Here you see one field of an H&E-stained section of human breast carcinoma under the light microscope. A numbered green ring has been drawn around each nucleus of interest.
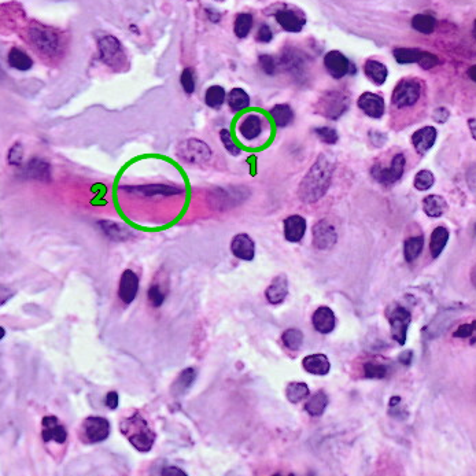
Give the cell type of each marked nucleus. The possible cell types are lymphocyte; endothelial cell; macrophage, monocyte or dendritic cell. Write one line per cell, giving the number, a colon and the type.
1: lymphocyte
2: endothelial cell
